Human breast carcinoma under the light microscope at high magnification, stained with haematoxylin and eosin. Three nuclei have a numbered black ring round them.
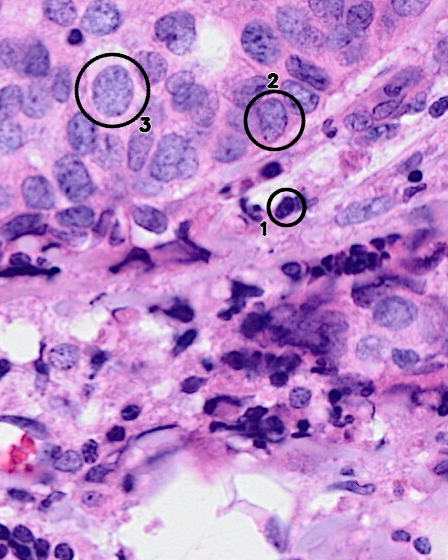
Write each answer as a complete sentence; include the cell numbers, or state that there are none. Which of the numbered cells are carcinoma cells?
Cells 2 and 3 are of one type, namely carcinoma cells.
